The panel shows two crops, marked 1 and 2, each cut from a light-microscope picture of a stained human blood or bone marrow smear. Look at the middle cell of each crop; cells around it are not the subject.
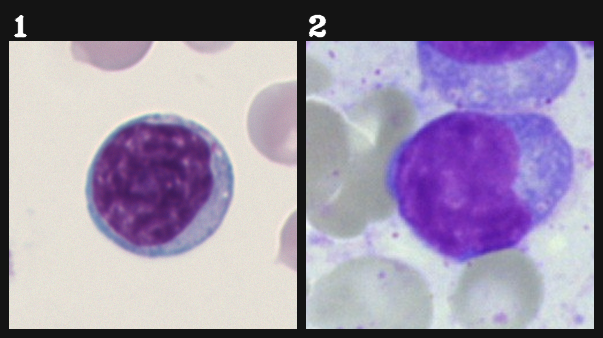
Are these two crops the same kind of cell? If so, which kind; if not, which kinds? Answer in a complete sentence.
Yes, the cells that the two crops centre on are blasts.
